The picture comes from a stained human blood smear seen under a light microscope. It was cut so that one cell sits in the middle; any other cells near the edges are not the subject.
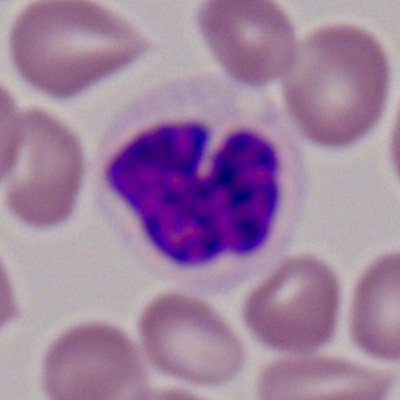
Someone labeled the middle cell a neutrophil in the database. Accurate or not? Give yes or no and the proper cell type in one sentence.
Yes, the crop's central cell is a neutrophil.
